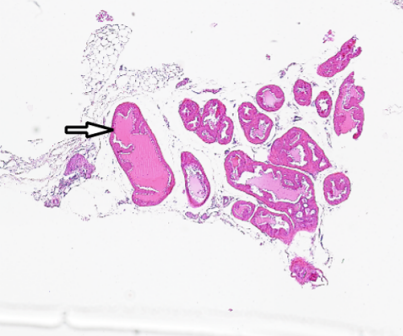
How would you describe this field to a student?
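This low-power section of prostate lobe shows small glands lined by a monolayer epithelium set in loose connective tissue. The glands are round or oval and spaced apart rather than crowded. Each is rimmed by a thin layer of cells, sometimes folded inward into the lumen. The lumens contain homogeneous pink secretion. Pale, loose stroma with scattered fibres lies around the glands.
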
